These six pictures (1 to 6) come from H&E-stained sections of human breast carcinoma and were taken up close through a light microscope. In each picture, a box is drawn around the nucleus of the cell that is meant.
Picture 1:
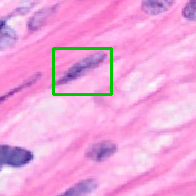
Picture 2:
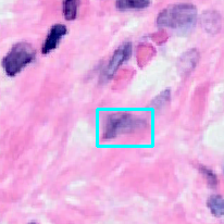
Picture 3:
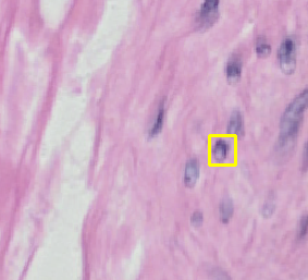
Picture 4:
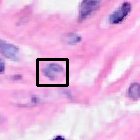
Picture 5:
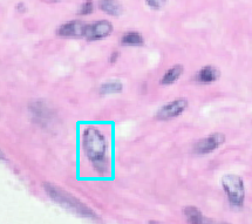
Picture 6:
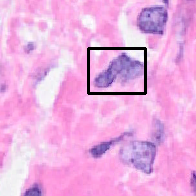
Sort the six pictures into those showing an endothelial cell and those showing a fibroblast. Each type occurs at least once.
1: fibroblast
2: endothelial cell
3: endothelial cell
4: endothelial cell
5: endothelial cell
6: fibroblast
